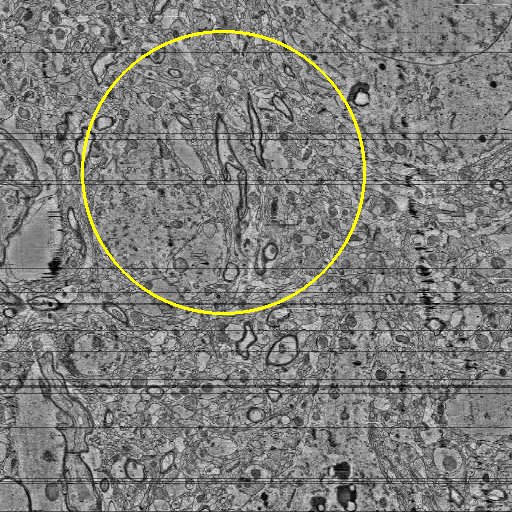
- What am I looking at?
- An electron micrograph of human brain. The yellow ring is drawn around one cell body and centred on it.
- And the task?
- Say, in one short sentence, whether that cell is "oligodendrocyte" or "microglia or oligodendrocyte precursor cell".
The cell in the middle of the ring is an oligodendrocyte.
